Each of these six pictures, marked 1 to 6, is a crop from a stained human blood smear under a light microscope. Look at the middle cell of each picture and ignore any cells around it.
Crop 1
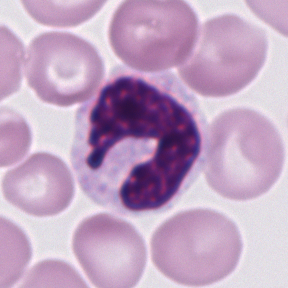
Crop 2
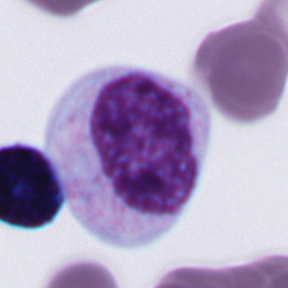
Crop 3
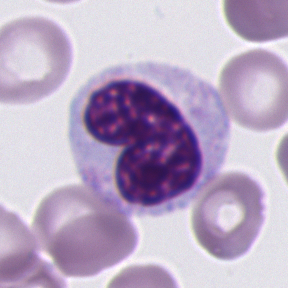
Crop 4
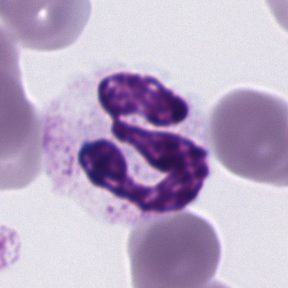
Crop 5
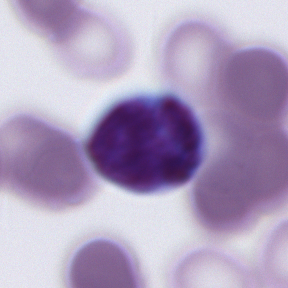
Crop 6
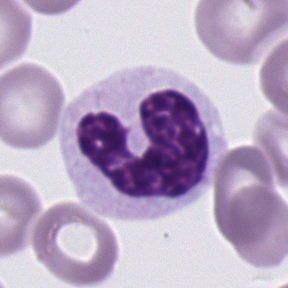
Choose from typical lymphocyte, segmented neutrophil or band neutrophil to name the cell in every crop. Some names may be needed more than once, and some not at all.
1: band neutrophil
2: band neutrophil
3: band neutrophil
4: segmented neutrophil
5: typical lymphocyte
6: band neutrophil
